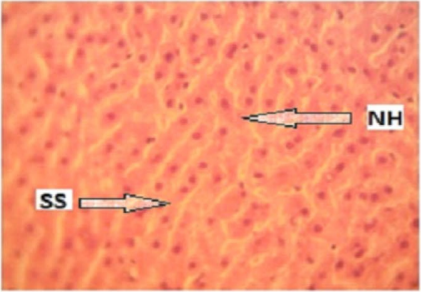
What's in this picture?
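Pink-stained polygonal cells, each with a single round purple nucleus, are lined up in cords that branch and join across the field. Between the cords run narrow, pale channels that give the tissue a lace-like pattern. The cells look evenly stained and similar in size throughout. These are hepatocytes in their plates, separated by sinusoids, in liver of ordinary appearance.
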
